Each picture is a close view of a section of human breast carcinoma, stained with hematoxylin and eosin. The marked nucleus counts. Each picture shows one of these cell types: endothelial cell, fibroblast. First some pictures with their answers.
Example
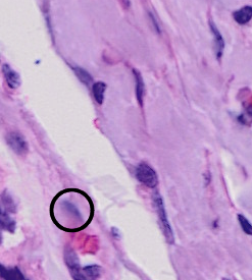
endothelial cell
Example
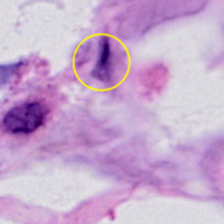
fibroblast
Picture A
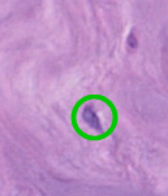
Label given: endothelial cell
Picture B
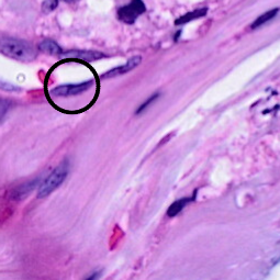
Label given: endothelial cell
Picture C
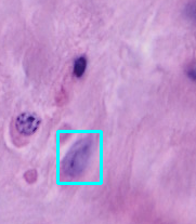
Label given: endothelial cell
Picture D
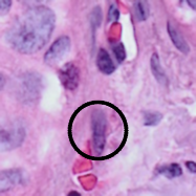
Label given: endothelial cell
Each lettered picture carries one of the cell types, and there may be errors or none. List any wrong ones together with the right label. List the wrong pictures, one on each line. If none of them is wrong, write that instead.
Wrong: A (endothelial cell); correct: fibroblast
Wrong: C (endothelial cell); correct: fibroblast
